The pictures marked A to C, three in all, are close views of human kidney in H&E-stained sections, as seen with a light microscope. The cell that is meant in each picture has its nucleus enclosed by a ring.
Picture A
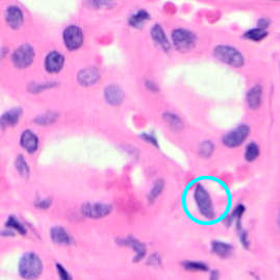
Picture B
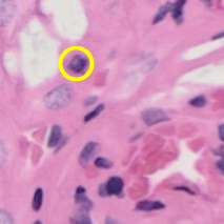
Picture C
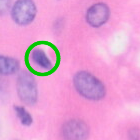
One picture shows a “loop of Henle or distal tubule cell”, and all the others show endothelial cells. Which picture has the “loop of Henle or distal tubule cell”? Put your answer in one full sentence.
The picture with the “loop of Henle or distal tubule cell” is B.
